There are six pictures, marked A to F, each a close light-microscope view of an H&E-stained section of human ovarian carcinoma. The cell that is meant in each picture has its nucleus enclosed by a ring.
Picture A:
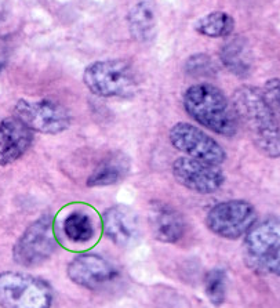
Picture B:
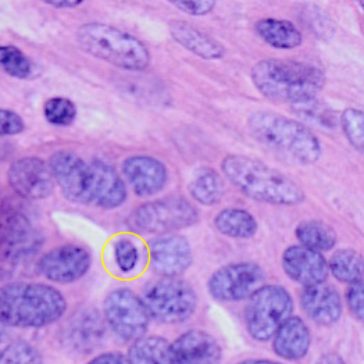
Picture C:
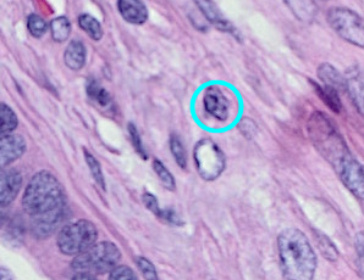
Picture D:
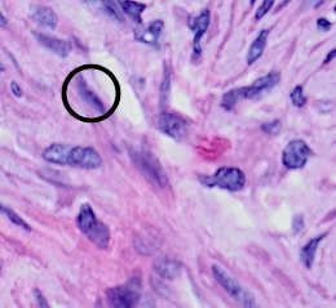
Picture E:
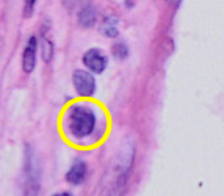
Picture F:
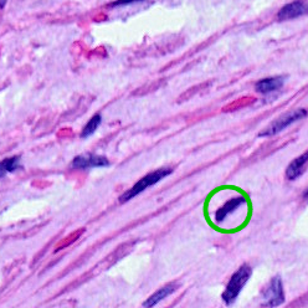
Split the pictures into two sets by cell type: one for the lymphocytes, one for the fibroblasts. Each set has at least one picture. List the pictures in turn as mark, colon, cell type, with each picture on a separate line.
A: lymphocyte
B: lymphocyte
C: lymphocyte
D: fibroblast
E: lymphocyte
F: fibroblast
